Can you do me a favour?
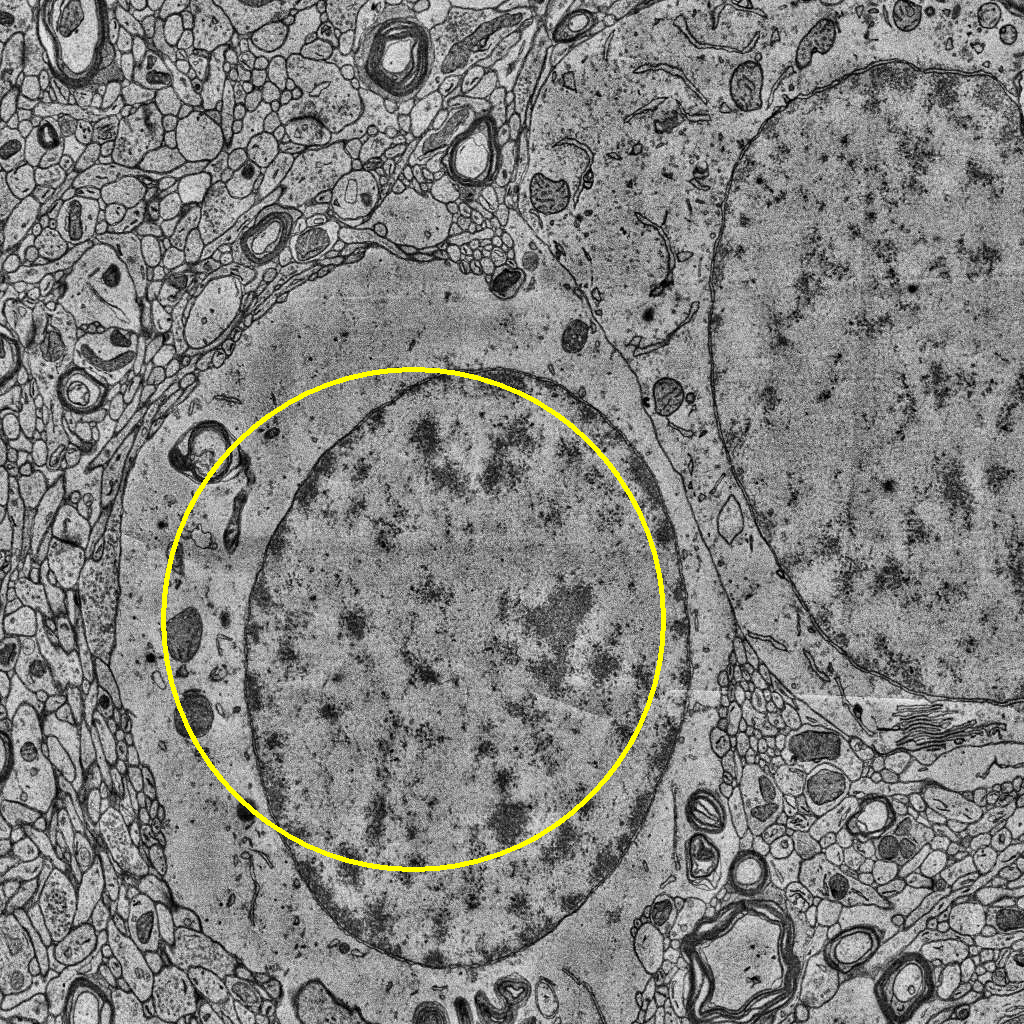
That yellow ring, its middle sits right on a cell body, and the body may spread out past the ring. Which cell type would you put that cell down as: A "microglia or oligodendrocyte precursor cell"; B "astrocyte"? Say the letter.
B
